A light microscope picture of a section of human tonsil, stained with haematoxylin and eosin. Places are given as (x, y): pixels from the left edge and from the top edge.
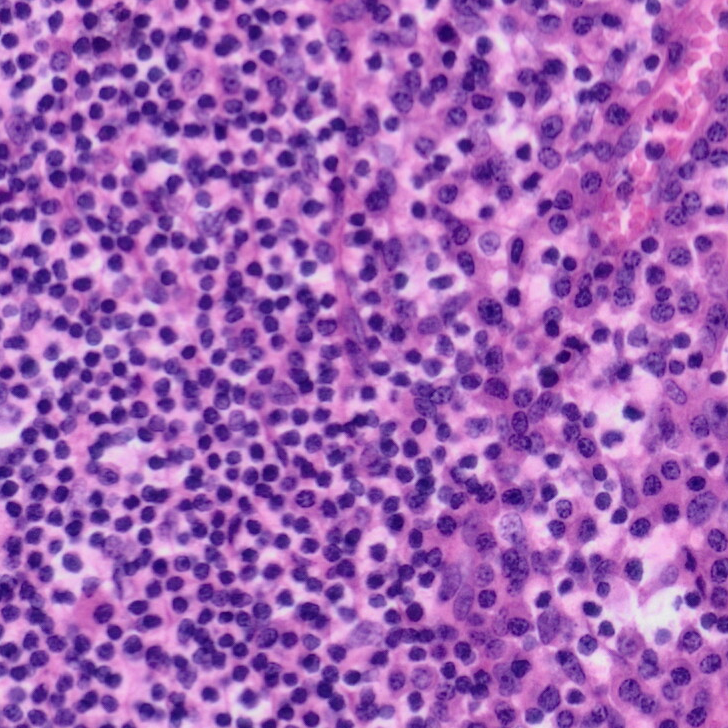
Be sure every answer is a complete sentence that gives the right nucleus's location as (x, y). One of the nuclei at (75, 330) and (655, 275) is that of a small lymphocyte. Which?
The nucleus at (75, 330) is the one that belongs to a small lymphocyte.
